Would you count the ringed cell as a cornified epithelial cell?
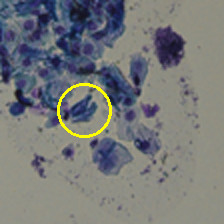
Yes, I would count it as a cornified epithelial cell.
